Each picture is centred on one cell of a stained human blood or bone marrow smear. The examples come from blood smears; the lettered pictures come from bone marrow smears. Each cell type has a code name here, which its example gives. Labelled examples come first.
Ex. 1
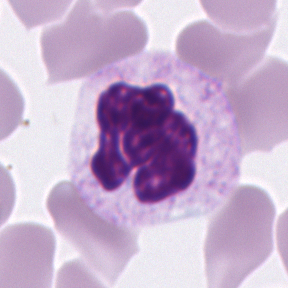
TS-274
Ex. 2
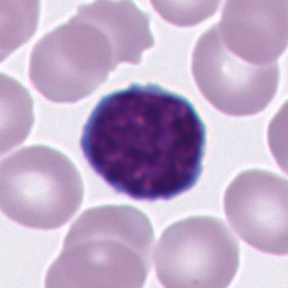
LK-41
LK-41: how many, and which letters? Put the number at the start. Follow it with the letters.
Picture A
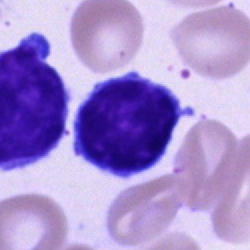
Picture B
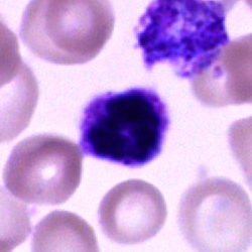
Count: 1 (A)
